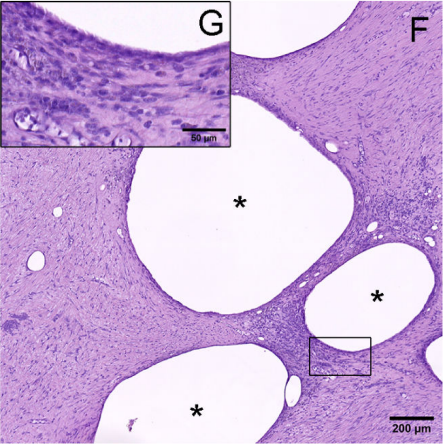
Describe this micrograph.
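Large, round, empty spaces are separated by bands of purple-stained fibrous tissue containing mononuclear cells and fibroblasts. In the enlarged inset, cells with oval to elongated nuclei line the edge of one empty space in several layers.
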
